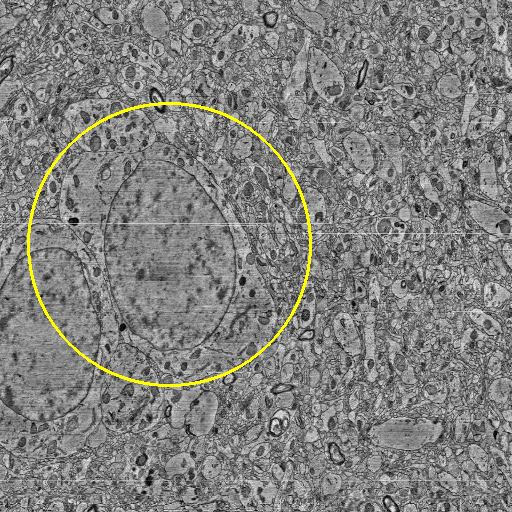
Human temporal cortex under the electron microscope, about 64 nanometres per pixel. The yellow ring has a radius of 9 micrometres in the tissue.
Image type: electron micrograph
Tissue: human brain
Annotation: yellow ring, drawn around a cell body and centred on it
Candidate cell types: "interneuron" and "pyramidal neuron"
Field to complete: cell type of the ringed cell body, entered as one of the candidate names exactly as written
pyramidal neuron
